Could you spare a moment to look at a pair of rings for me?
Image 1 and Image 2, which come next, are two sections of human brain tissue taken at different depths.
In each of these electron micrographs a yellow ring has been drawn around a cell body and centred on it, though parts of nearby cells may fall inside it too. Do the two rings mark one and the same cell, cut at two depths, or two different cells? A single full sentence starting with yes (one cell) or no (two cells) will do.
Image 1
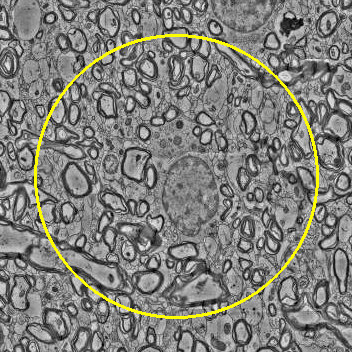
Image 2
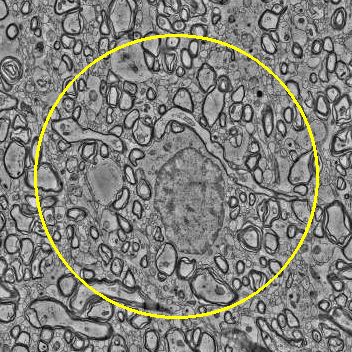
Yes, the cell inside the first ring is the cell inside the second.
